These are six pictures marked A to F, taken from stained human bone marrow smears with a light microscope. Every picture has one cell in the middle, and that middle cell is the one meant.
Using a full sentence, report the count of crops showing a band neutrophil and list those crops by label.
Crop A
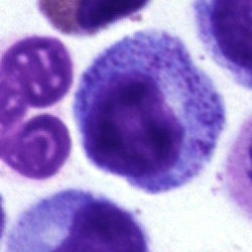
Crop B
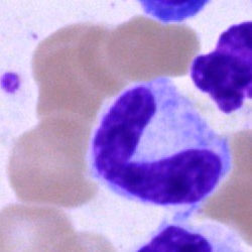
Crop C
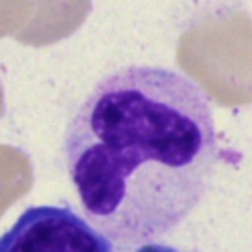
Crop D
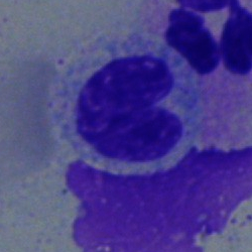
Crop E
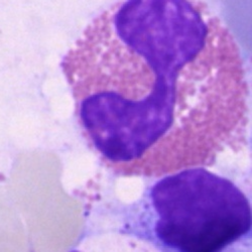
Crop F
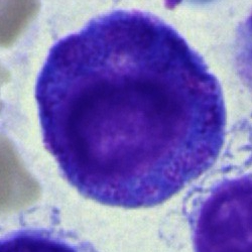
Represented by two crops, B and D, are band neutrophils.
